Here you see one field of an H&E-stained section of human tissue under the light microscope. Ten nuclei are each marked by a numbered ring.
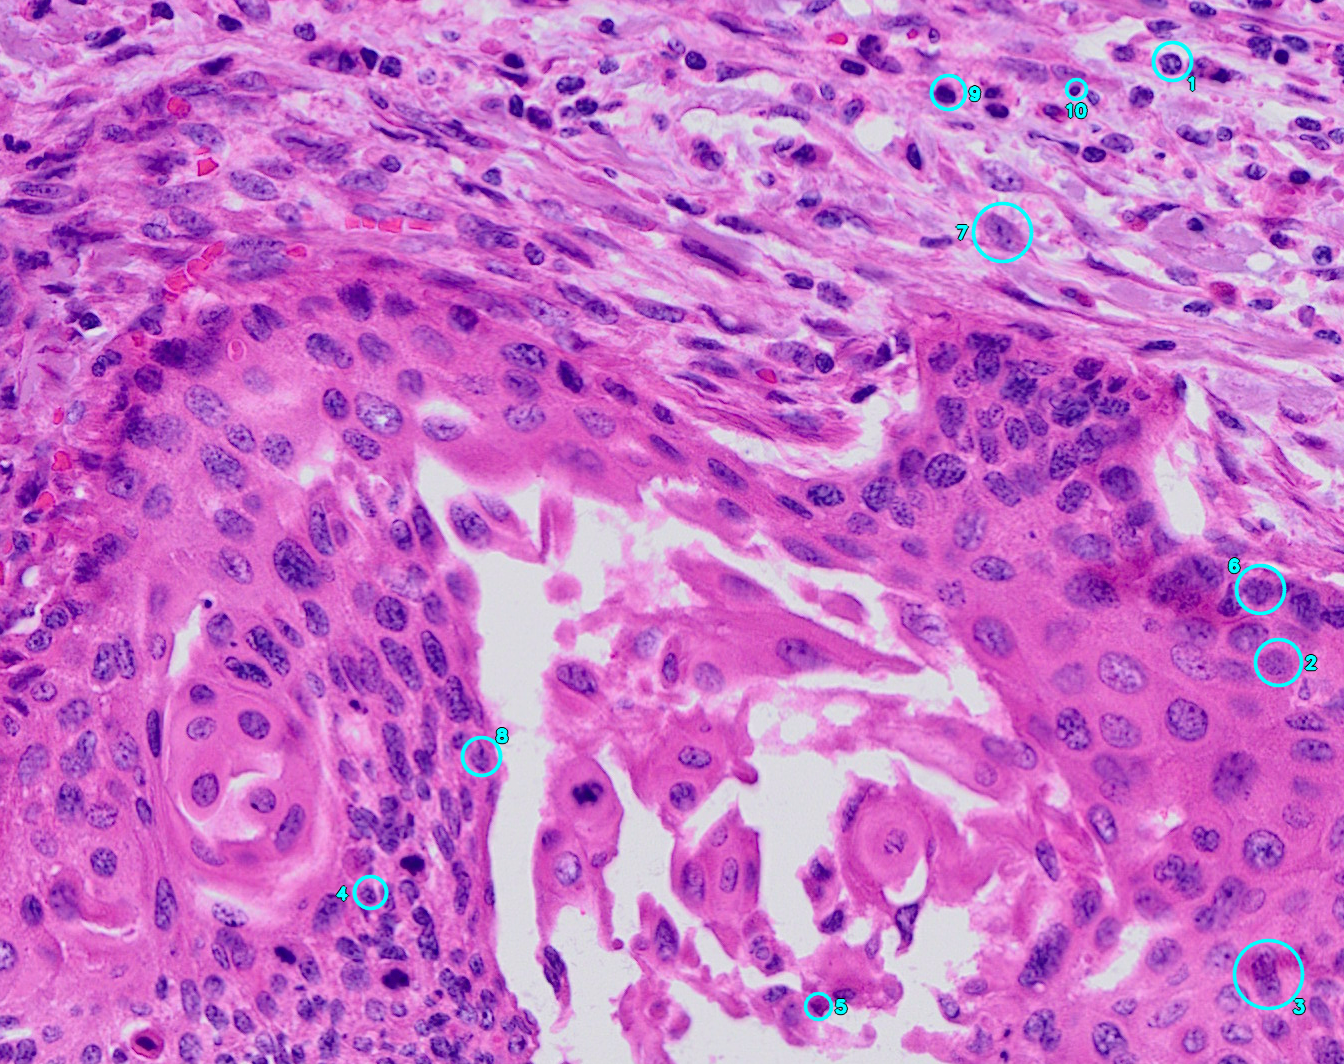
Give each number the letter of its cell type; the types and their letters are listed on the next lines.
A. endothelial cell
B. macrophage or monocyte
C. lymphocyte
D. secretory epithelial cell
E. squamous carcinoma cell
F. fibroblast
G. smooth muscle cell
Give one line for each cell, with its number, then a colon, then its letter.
1: C
2: E
3: E
4: E
5: E
6: E
7: F
8: E
9: C
10: C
